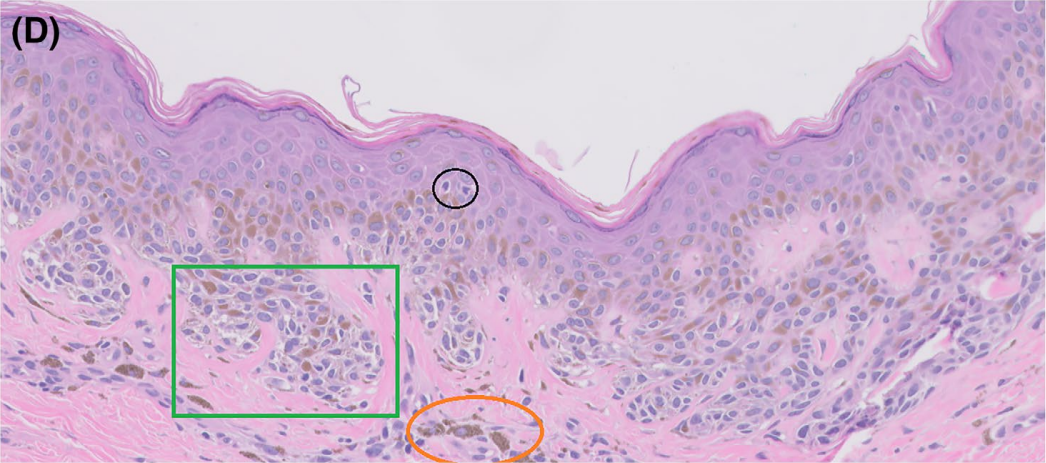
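This is skin with a stratified squamous epidermis over the papillary dermis, in which atypical melanocytes are seen: single pale cells with clear cytoplasm lie scattered in the middle layers of the epidermis, well above the basal layer. Below the epidermis, melanocytes with nuclei of varying size and shape are grouped in rounded nests separated by pink collagen. Deeper in the papillary dermis lie macrophages whose cytoplasm is filled with coarse brown melanin pigment, and brown pigment is also seen in the lower epidermis.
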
